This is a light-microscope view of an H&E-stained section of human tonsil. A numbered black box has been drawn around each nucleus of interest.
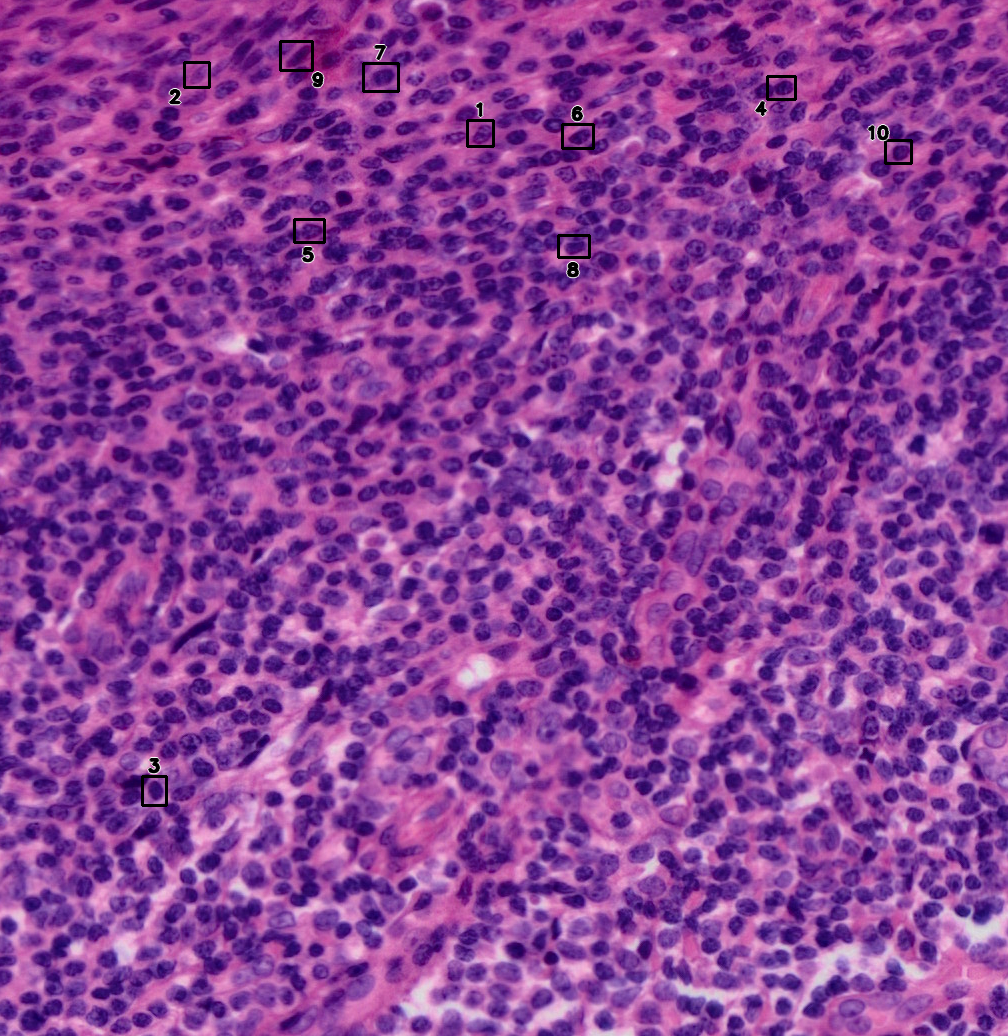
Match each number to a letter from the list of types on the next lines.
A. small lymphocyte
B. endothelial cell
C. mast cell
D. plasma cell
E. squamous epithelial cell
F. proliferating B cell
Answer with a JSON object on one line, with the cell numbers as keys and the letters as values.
{"1": "D", "2": "E", "3": "A", "4": "D", "5": "D", "6": "D", "7": "D", "8": "A", "9": "E", "10": "D"}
